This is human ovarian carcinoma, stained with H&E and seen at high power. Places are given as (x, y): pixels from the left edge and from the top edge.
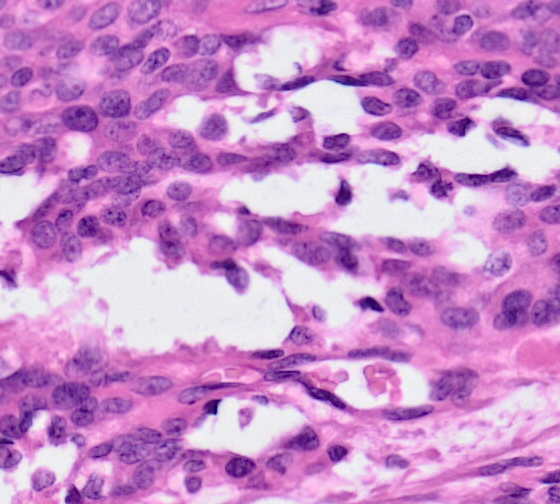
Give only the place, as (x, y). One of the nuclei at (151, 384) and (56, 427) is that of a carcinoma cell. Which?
(56, 427)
